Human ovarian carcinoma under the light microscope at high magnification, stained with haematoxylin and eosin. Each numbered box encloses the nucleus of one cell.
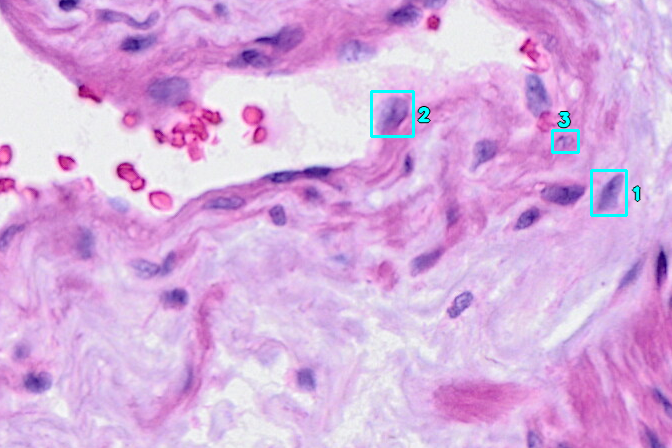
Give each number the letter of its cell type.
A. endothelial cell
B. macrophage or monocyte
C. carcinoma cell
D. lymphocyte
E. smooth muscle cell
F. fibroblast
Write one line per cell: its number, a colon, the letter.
1: F
2: A
3: A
